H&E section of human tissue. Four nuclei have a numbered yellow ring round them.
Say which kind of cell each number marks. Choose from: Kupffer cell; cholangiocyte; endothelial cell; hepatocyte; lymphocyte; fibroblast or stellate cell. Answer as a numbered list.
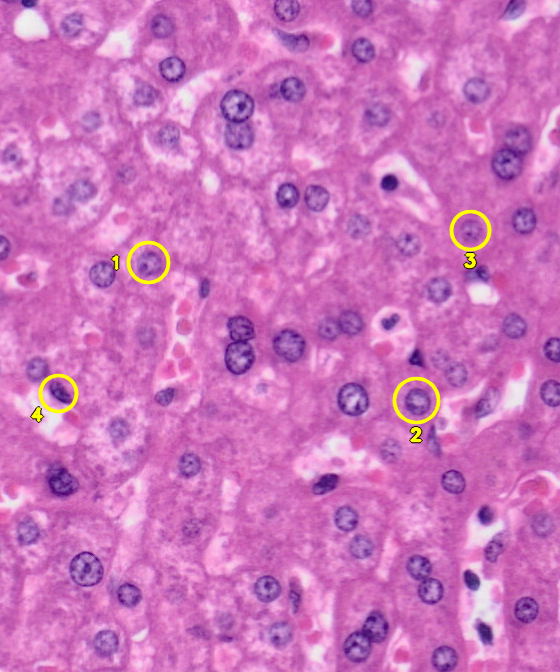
1. hepatocyte
2. hepatocyte
3. hepatocyte
4. fibroblast or stellate cell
